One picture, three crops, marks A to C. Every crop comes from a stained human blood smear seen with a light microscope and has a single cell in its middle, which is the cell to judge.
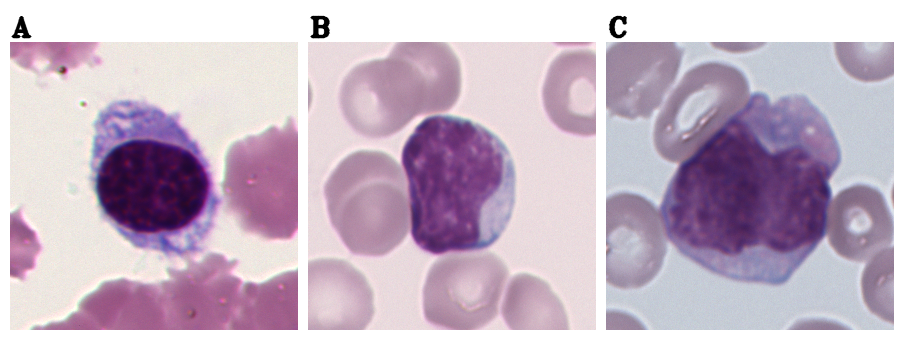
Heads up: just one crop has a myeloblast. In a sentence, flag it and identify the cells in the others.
Crop B contains a myeloblast; meanwhile, crop A is a hairy cell and crop C is an atypical promyelocyte.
